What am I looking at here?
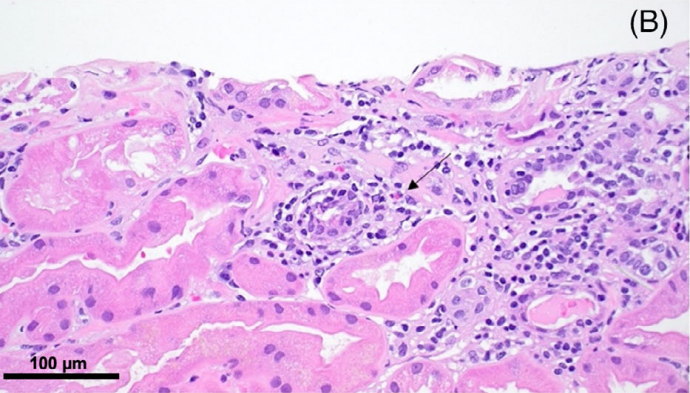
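At higher power this shows kidney tubules with inflamed interstitium between them. The tubules are lined by tall epithelial cells with abundant pink, granular cytoplasm and round nuclei, and their lumens are irregular. Between the tubules lie many scattered inflammatory cells with dark, rounded nuclei, and an arrow marks a spot among them near a small round tubular profile cut in cross section. Inflammatory cells come up close to and into the walls of some tubules, so that the tubular lining looks infiltrated in places, a pattern of tubular inflammation.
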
